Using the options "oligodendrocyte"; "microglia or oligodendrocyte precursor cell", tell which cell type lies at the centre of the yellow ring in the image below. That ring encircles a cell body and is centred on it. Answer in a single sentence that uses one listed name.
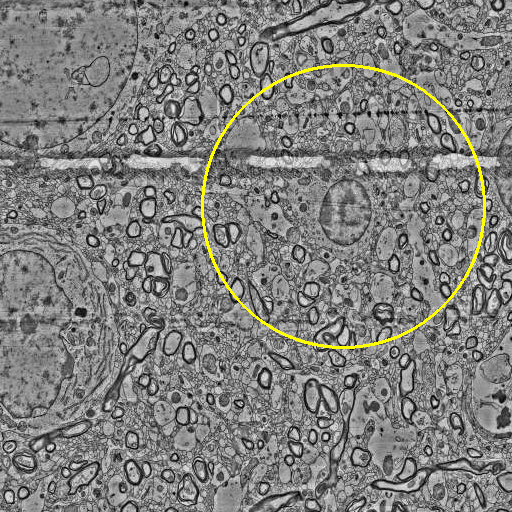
At the centre of the yellow ring lies the body of an oligodendrocyte.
